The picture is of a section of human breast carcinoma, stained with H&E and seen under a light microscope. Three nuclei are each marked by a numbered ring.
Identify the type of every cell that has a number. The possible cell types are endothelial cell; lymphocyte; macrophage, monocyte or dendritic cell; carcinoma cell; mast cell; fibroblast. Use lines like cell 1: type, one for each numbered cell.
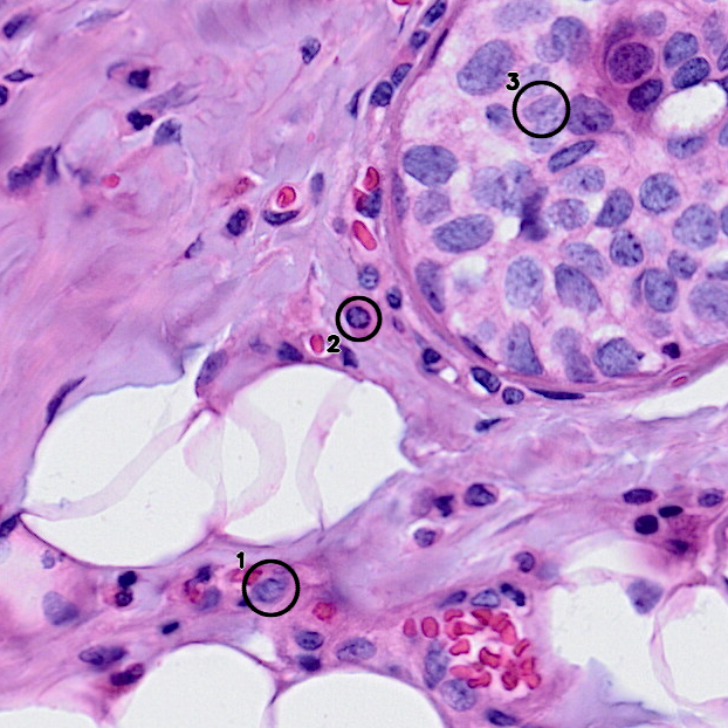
cell 1: endothelial cell
cell 2: mast cell
cell 3: carcinoma cell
